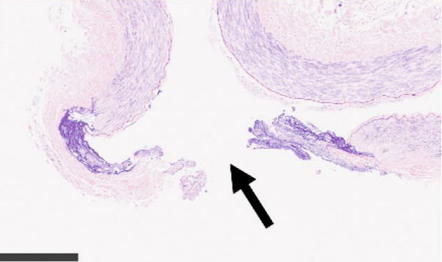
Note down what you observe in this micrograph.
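Arterial wall stained pale pink to lilac, broken through its full thickness with a gap between two frayed ends. Dark purple deposits line the torn edges on both sides of the gap, while the intact wall elsewhere stays pale.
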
